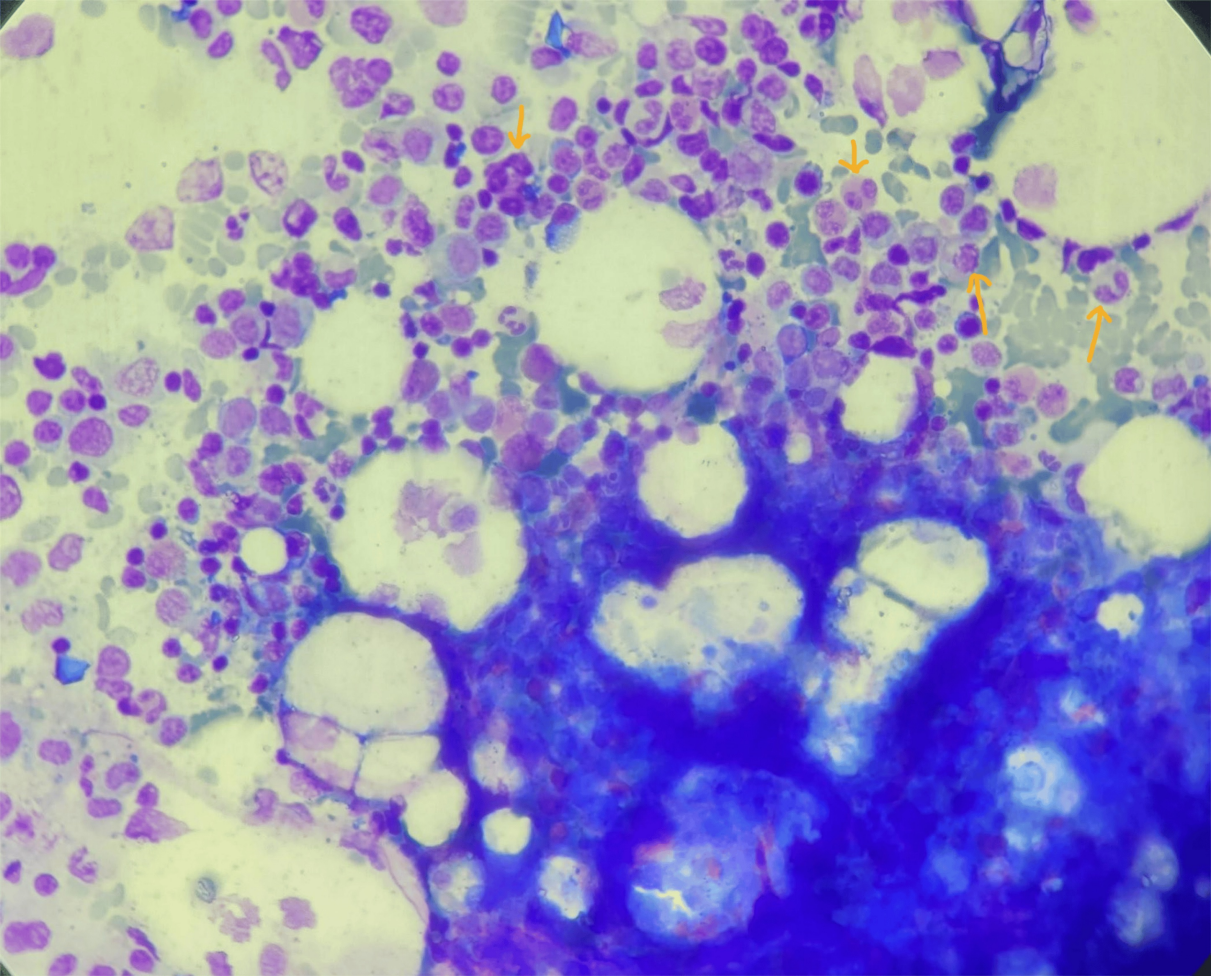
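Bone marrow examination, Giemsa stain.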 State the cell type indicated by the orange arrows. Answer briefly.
eosinophils and their precursors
